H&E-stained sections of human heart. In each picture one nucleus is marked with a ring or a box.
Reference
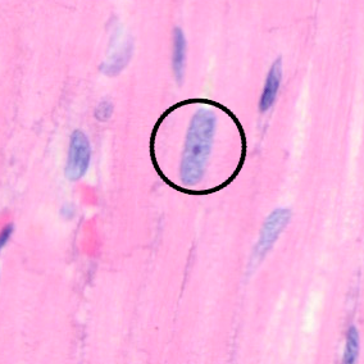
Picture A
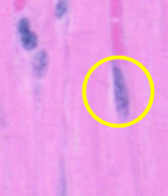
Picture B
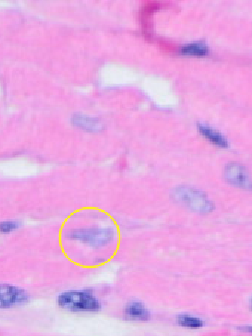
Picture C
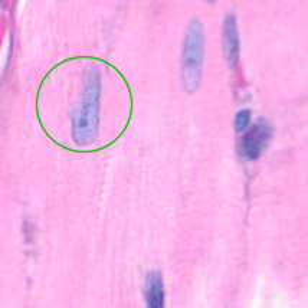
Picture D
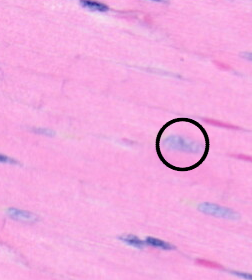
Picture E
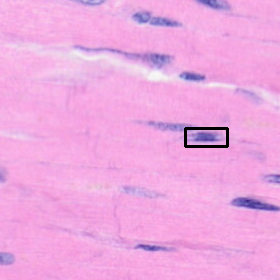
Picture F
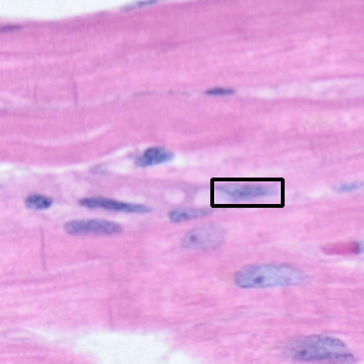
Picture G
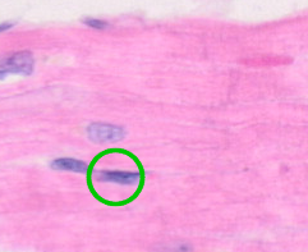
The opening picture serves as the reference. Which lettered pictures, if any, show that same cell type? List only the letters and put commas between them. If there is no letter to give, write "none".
B, C, D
